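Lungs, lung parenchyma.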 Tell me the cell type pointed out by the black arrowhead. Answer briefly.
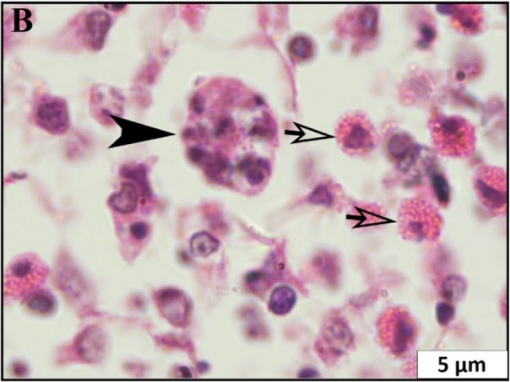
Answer: multinucleated giant cells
